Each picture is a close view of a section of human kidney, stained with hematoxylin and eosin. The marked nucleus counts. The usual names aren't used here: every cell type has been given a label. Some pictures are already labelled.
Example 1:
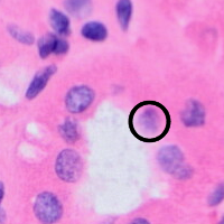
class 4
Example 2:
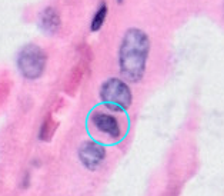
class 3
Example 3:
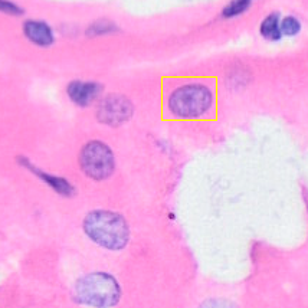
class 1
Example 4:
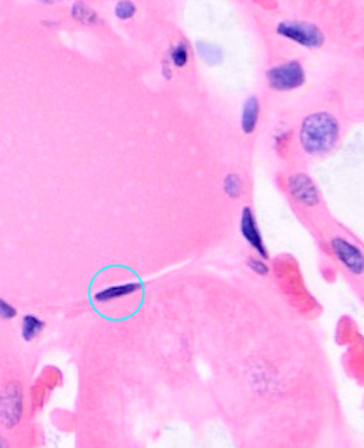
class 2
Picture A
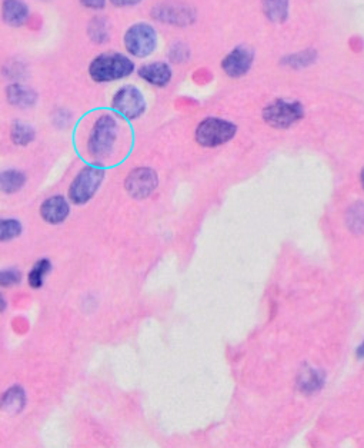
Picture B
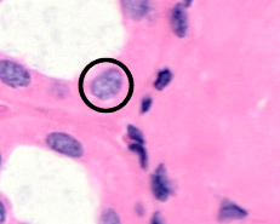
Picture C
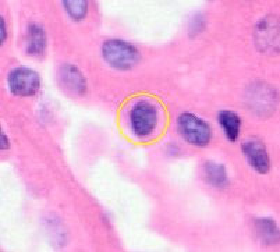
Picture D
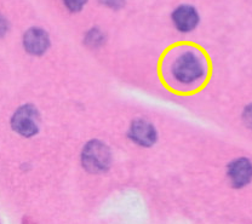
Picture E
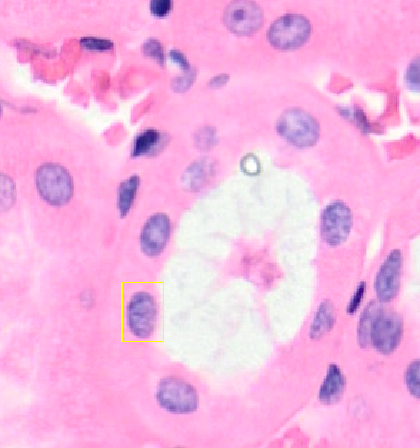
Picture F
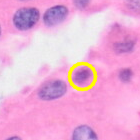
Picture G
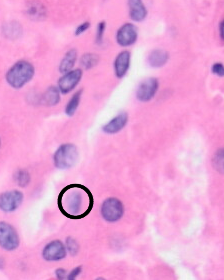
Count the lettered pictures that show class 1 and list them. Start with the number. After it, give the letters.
1, namely D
